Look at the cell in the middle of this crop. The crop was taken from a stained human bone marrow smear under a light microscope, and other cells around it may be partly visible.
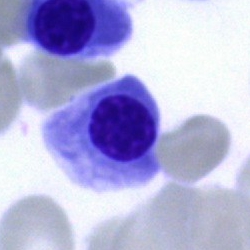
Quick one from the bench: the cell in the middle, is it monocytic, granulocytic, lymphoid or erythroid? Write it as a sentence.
The central cell in this crop is categorized under the erythroid lineage.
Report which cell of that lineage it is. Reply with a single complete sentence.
The centrally located cell in the crop is an erythroblast.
